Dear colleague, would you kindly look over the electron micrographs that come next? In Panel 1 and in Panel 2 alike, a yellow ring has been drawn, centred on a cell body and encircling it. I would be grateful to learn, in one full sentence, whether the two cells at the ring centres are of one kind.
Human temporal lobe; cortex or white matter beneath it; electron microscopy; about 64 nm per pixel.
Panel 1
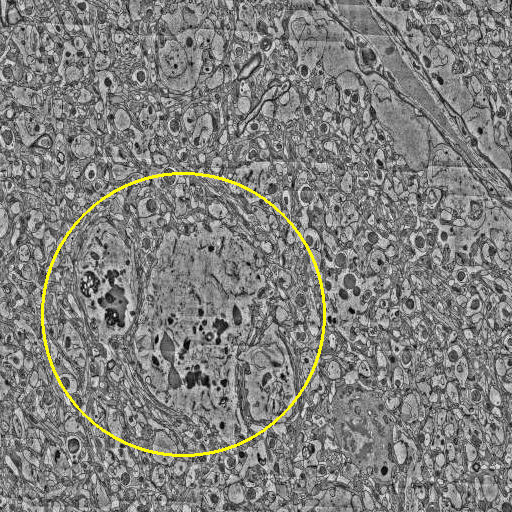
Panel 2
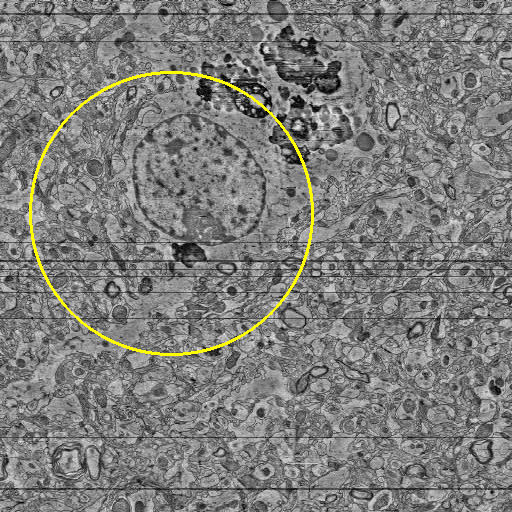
Yes, the cells in the middle of the rings in the two panels are of one kind.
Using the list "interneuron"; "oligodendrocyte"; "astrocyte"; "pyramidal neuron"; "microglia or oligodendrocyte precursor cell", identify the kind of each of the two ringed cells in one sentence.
Each of the two rings is centred on an astrocyte.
